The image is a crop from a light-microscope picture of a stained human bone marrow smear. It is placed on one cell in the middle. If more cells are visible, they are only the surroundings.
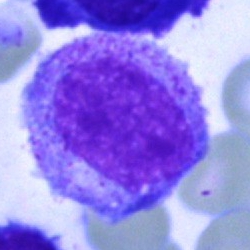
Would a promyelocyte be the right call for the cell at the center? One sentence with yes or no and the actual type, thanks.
Yes, a promyelocyte occupies the middle of the crop.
